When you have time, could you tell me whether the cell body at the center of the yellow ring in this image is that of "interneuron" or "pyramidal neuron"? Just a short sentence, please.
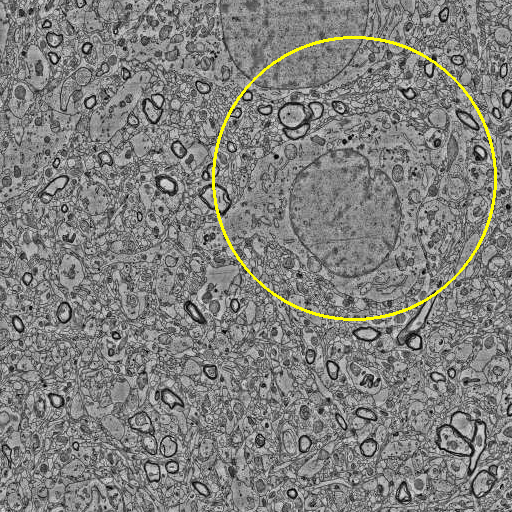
The cell body at the center of the ring is that of an interneuron.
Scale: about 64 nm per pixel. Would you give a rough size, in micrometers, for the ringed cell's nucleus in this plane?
Roughly 8 micrometres by 7 micrometres, in this plane.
